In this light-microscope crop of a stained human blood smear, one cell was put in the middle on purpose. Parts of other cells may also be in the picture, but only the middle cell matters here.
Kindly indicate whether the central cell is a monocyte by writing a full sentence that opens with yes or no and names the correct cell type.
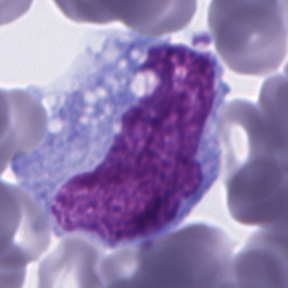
Yes, a monocyte occupies the middle of the crop.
